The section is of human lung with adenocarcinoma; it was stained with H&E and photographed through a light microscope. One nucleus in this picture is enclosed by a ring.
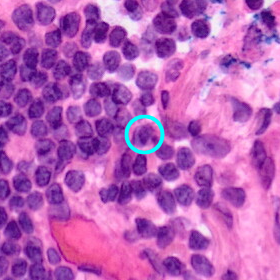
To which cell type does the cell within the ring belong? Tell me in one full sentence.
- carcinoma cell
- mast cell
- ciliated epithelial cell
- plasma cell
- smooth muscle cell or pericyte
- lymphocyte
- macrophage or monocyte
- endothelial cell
In this section, the cell within the ring is a lymphocyte.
